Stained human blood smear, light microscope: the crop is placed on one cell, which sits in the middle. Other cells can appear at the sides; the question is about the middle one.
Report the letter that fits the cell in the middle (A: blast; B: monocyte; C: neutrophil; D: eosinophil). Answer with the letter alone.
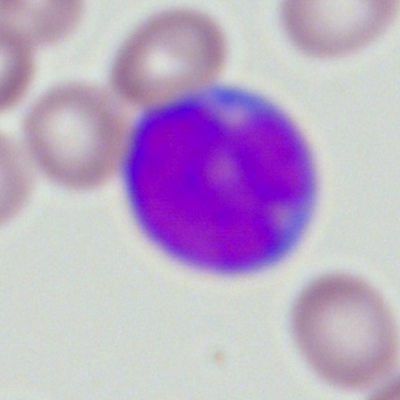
A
